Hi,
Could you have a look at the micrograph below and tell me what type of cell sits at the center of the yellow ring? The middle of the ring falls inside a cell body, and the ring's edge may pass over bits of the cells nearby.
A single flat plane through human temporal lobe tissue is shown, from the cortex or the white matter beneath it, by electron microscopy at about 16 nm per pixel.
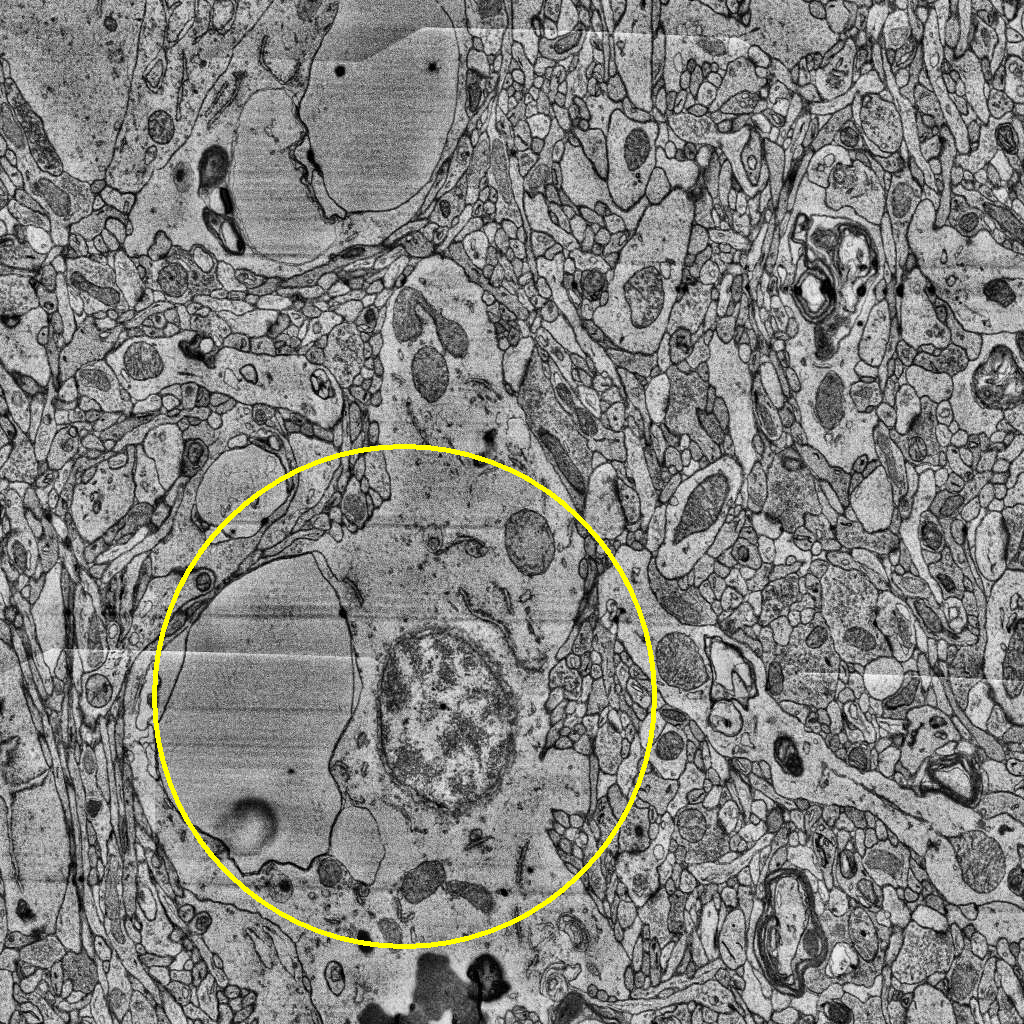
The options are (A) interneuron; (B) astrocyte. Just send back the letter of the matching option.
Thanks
B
